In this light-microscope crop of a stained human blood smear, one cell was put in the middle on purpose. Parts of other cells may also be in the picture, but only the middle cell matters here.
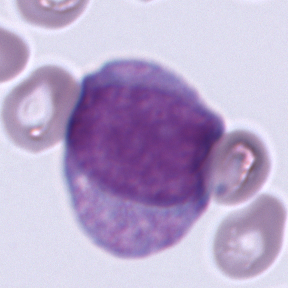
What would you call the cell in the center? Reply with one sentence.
The cell of interest, located centrally, is an atypical promyelocyte.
